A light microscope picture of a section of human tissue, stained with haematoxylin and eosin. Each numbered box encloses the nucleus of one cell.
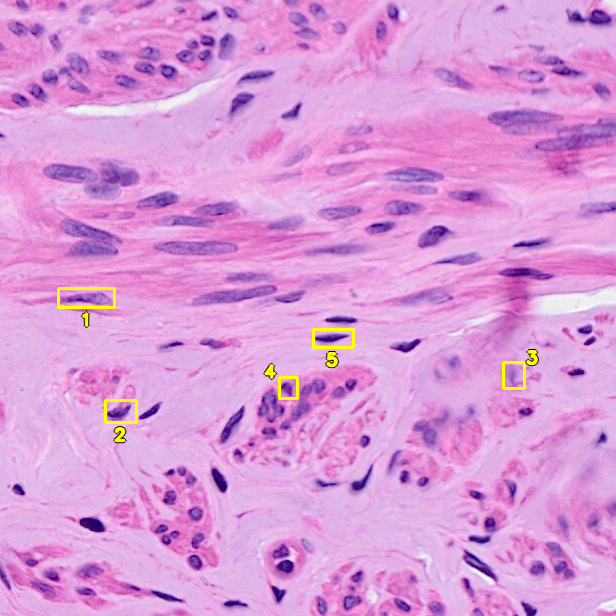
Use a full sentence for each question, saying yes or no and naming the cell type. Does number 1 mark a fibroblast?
No, cell 1 is not a fibroblast: it is a smooth muscle cell.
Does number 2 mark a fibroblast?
Yes, the cell that goes by number 2 is a fibroblast.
